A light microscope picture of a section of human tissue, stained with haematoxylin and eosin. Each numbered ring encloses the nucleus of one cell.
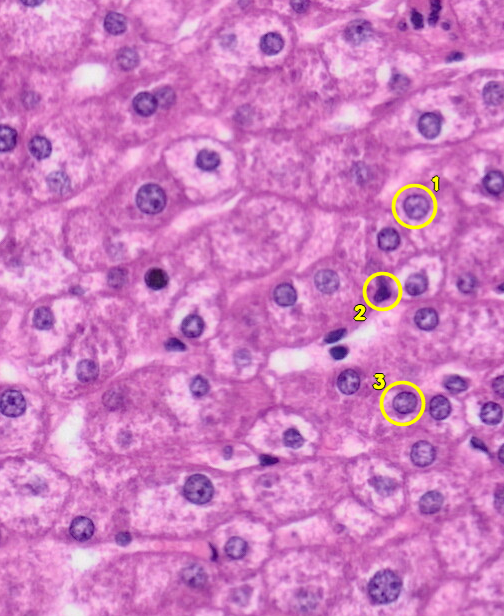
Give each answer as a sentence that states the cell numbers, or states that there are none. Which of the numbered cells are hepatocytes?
Cells 1 and 3 are of one type, namely hepatocytes.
